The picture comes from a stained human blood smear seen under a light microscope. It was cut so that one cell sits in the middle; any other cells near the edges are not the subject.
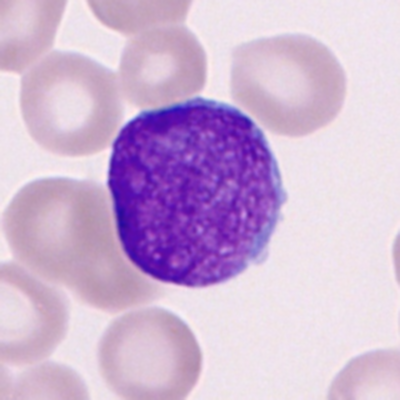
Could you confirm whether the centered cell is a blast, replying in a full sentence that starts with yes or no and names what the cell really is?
Yes, the cell at the midpoint of the crop is a blast.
